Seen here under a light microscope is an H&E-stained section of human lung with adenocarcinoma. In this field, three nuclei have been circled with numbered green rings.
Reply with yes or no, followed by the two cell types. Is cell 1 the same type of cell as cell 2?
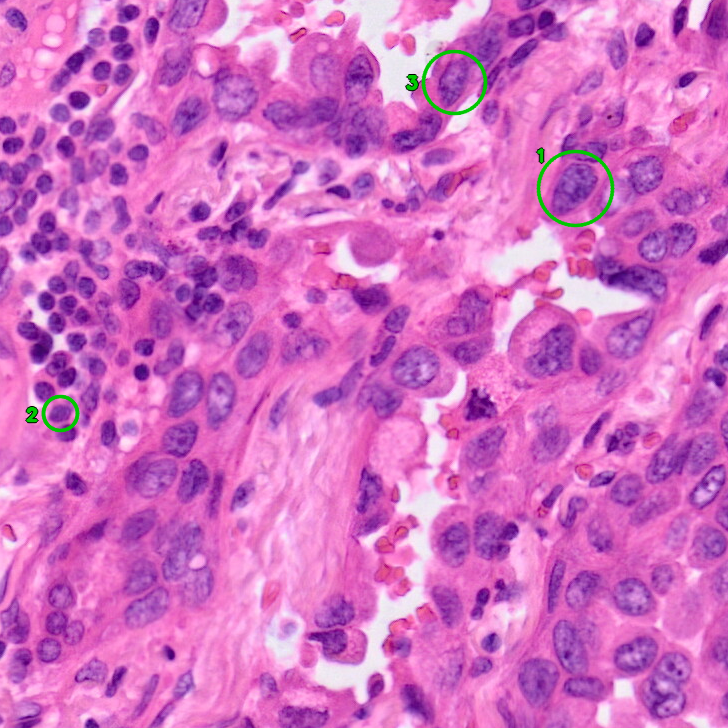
No, cell 1 is a carcinoma cell and cell 2 is a lymphocyte.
